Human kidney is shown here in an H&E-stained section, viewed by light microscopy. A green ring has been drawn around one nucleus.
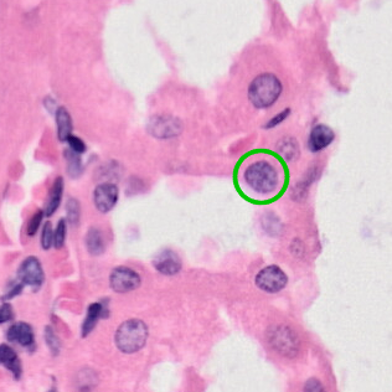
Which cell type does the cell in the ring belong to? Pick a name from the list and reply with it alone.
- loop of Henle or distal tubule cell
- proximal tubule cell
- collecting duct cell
loop of Henle or distal tubule cell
